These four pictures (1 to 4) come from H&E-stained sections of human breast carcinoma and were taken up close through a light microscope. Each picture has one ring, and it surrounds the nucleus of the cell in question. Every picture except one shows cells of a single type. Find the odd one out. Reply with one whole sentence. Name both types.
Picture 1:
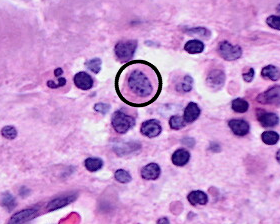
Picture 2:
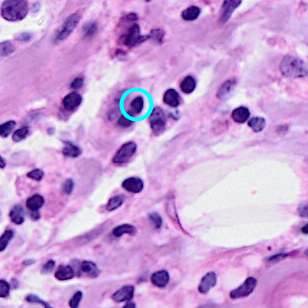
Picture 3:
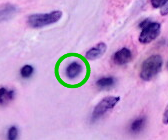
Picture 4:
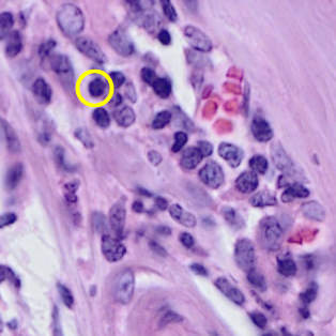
Picture 1 is the odd one out: it shows a mast cell, while the others show lymphocytes.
